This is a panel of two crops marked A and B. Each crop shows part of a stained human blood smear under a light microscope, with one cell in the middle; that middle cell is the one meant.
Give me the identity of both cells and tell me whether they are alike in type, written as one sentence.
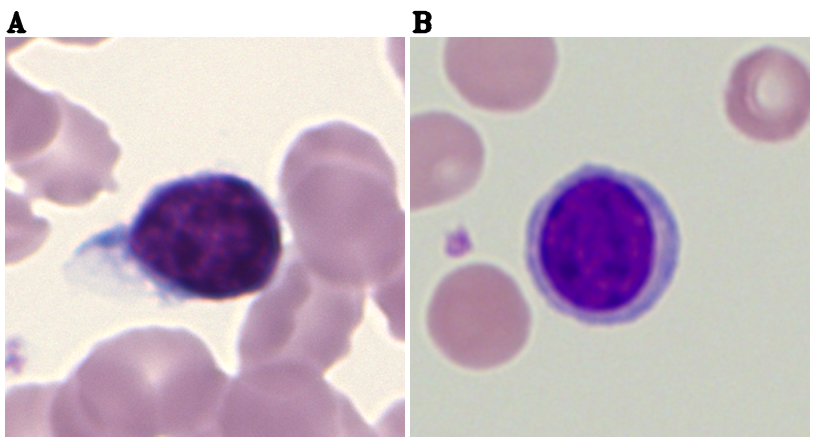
Yes, as for both crops, the cells shown are lymphocytes.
